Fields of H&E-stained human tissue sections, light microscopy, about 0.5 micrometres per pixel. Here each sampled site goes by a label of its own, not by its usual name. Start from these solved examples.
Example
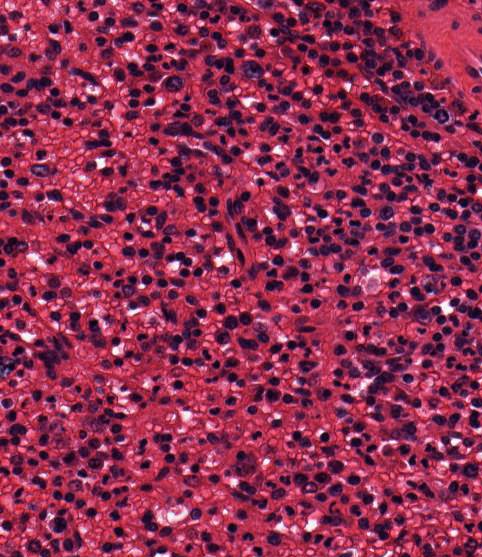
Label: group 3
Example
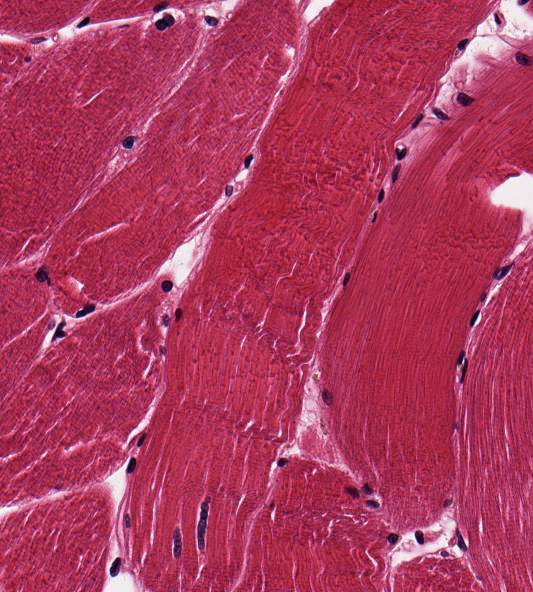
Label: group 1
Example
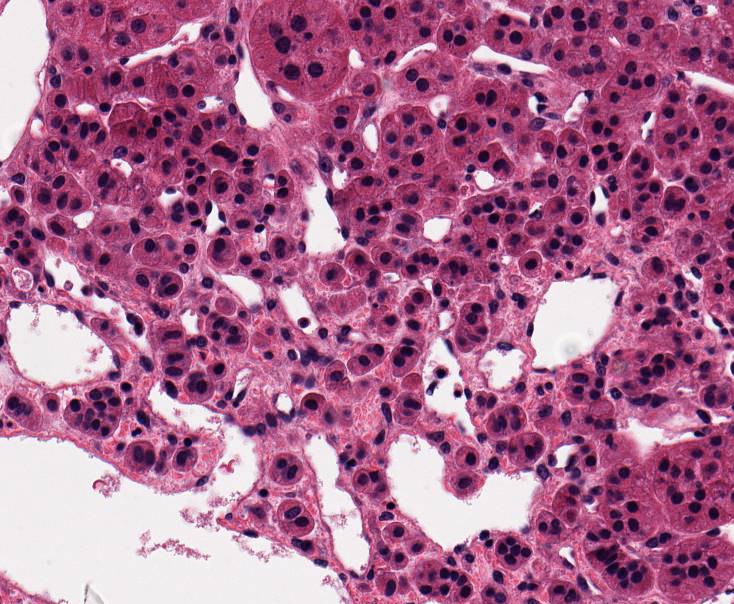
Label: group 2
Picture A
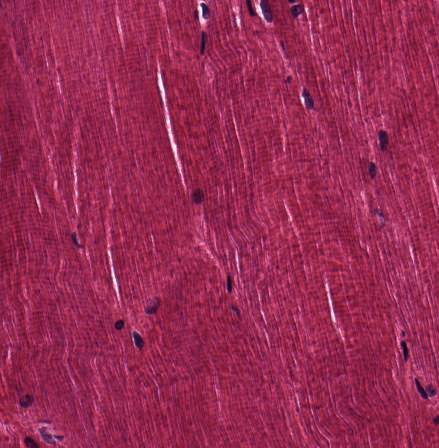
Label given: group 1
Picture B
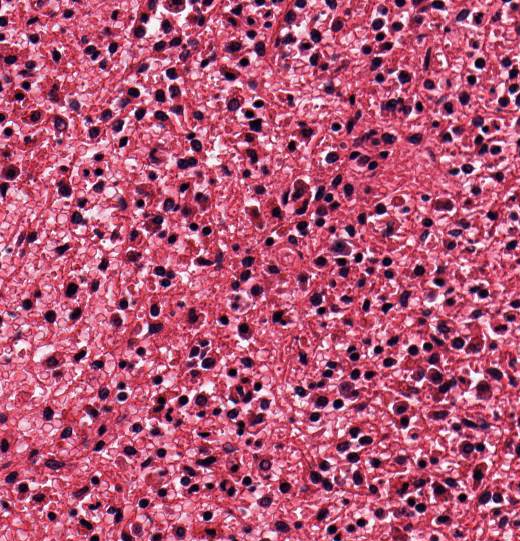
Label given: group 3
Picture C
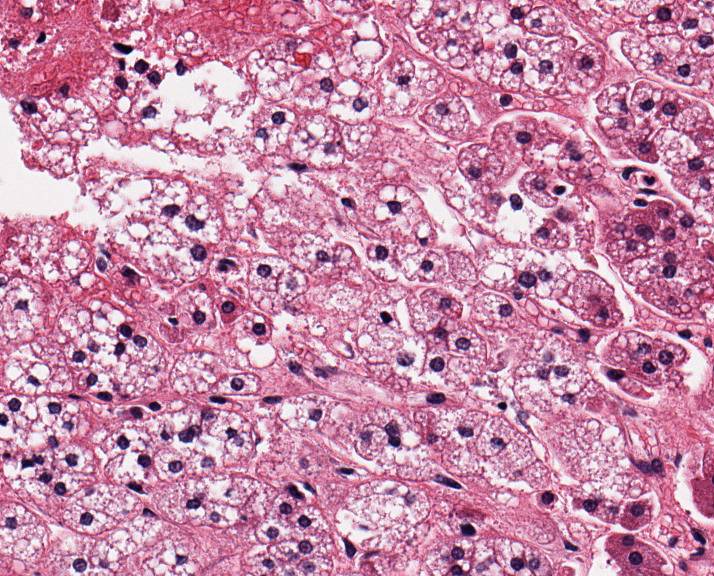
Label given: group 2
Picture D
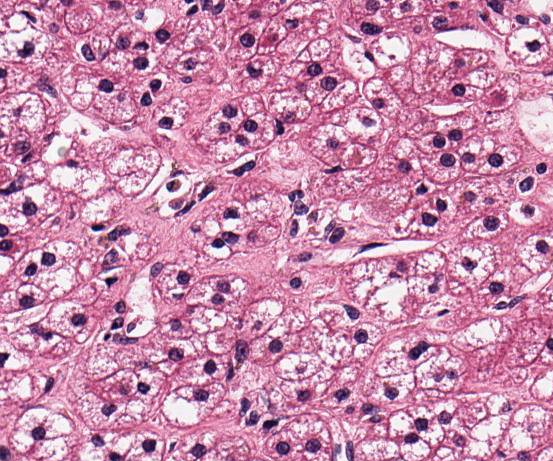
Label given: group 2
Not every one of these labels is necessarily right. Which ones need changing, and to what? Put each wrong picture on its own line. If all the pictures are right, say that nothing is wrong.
None of the labels needs changing.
